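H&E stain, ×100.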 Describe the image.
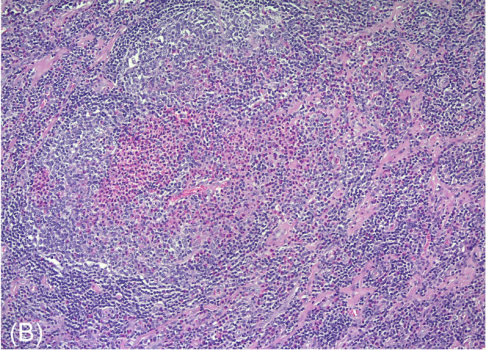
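This lymphoid tissue shows a mixed inflammatory infiltrate rich in eosinophils. A rounded follicle at the top is bordered by densely packed small lymphocytes with dark round nuclei and scant cytoplasm. Thin pink, glassy strands running through the tissue correspond to small vessels with hyalinized walls.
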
